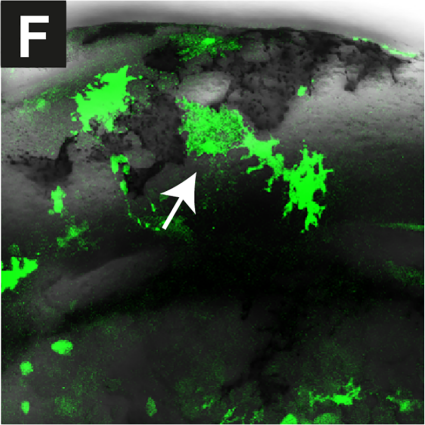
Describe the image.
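Several large green cells lie in the upper middle of the field; one of them sits over the dark pigment cluster, showing that green and pigment coincide. Smaller green dots and patches are scattered elsewhere, especially toward the lower part and left edge. The background tissue is grey, with a darker band across the middle of the field.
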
